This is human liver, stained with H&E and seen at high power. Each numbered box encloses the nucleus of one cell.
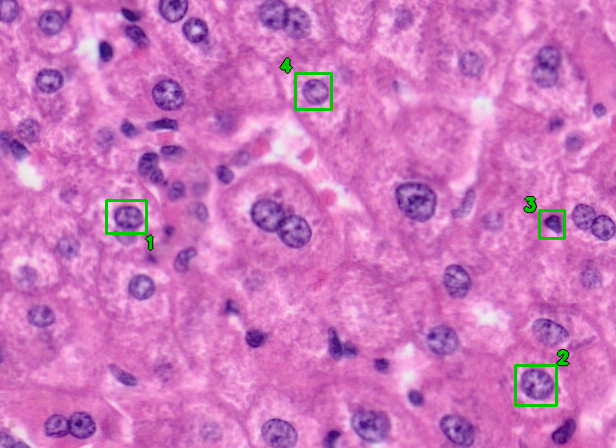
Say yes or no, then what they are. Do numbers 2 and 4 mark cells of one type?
Yes, that is correct, cells 2 and 4 are both hepatocytes.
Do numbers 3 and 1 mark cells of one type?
No, whereas cell 1 is a hepatocyte, cell 3 is a fibroblast or stellate cell.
